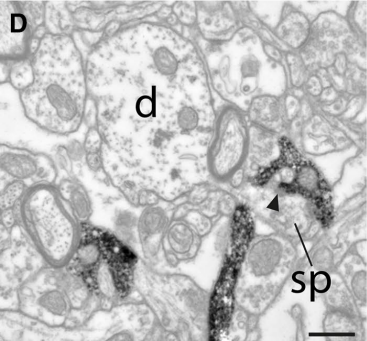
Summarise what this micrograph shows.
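This electron micrograph shows neuropil with a large pale dendrite profile at the top, myelinated axons with dark concentric rings at the left and center, and numerous small unmyelinated profiles. Dark-stained profiles appear at the lower center and on the right, where a stained swelling contains a few pale round vesicle-like structures. An arrowhead points at the contact between this stained swelling and a small pale spine profile beneath it.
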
